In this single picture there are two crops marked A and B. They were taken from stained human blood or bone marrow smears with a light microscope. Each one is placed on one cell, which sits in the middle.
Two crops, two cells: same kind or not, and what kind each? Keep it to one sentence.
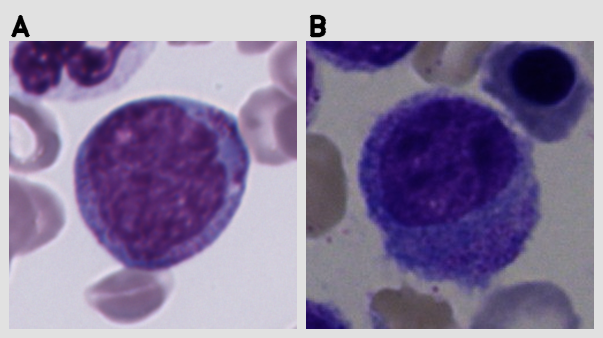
Yes, both crops do show promyelocytes in the middle.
